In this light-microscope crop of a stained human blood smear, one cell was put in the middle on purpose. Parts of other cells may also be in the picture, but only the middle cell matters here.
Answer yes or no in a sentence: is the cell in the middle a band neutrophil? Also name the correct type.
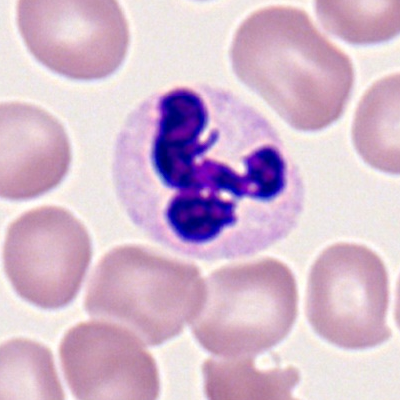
No, the one in the center is not a band neutrophil; it is a segmented neutrophil.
